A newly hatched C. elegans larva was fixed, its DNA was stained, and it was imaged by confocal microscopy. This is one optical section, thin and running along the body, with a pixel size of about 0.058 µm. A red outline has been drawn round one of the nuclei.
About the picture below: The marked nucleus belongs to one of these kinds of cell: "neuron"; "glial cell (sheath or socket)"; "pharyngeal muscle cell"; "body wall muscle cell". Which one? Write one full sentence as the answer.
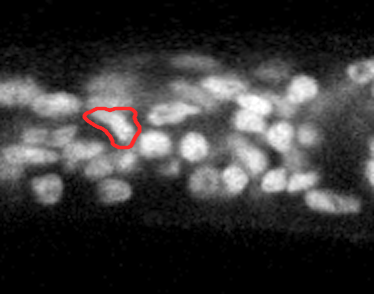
This nucleus is from a pharyngeal muscle cell.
